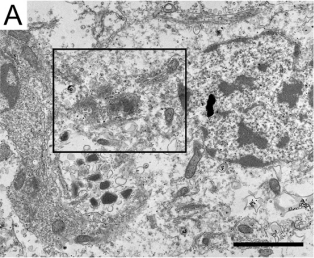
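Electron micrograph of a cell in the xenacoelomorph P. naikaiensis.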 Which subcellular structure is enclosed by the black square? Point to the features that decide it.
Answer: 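The square encloses several groups of stacked, flattened membrane cisternae. The stacks lie close together in one region of the cytoplasm.
Clustered Golgi stacks.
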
